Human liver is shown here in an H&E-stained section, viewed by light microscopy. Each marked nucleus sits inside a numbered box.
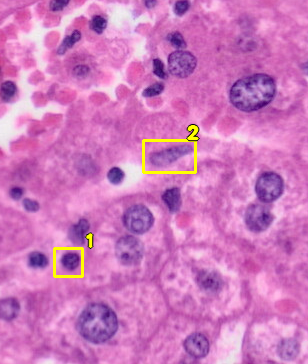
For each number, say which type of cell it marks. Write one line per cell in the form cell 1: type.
cell 1: lymphocyte
cell 2: Kupffer cell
